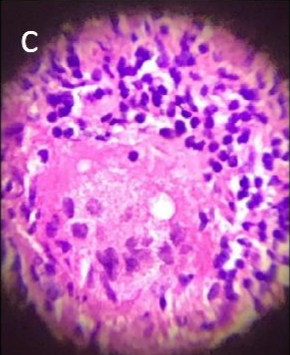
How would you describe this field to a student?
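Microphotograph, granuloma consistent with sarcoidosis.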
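A multinucleate giant cell with abundant pale pink, finely granular cytoplasm fills the lower centre, with several oval nuclei and a small clear vacuole within it. It is ringed by a dense infiltrate of small lymphocytes with round, dark purple nuclei and scant cytoplasm, most crowded above it.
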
